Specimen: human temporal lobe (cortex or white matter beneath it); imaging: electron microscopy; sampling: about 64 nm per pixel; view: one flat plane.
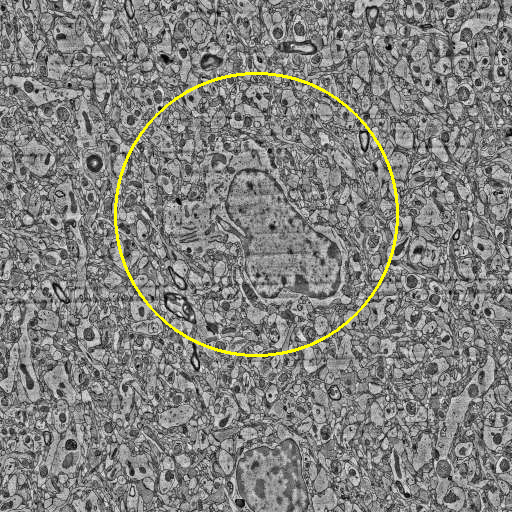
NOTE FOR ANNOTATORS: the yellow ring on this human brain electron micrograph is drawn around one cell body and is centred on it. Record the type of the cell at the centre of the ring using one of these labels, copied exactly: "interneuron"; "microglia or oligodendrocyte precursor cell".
microglia or oligodendrocyte precursor cell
